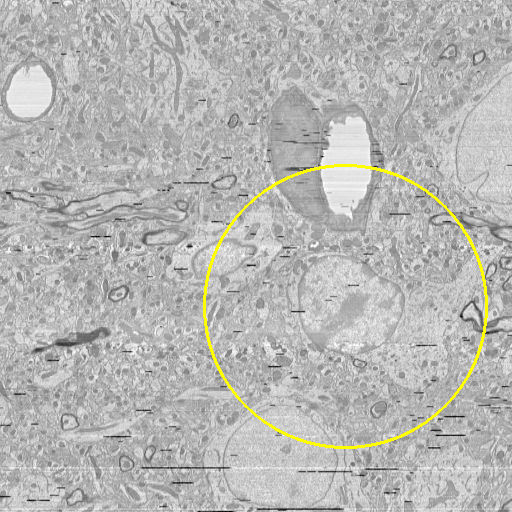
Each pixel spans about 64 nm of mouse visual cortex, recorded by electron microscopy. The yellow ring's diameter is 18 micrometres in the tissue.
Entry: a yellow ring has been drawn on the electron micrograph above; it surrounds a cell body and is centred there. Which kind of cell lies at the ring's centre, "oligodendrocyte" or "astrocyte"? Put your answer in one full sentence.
The cell sitting at the ring's centre is an oligodendrocyte in the micrograph above.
